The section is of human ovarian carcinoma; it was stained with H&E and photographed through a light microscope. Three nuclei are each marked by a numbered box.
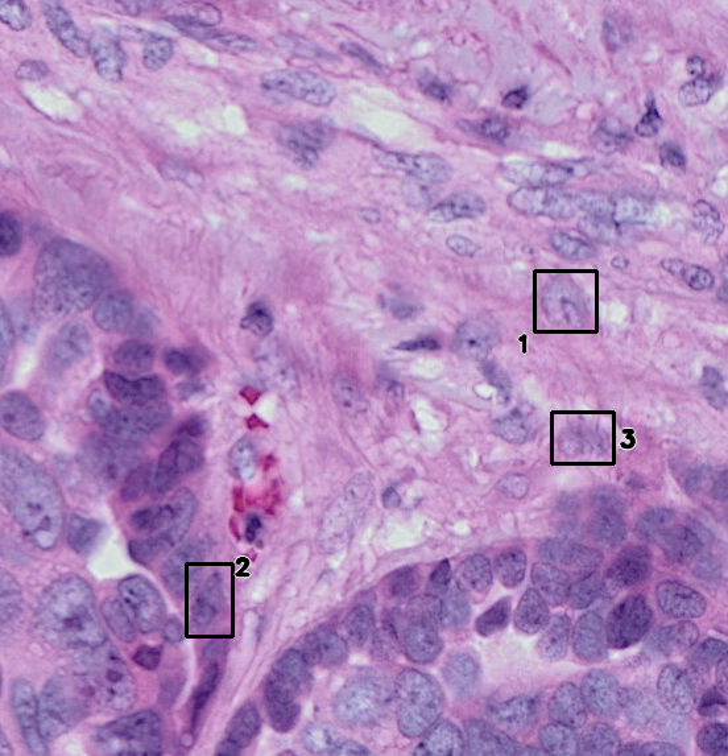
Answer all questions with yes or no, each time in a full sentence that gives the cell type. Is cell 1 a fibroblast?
Yes, within this section, cell number 1 is a fibroblast.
